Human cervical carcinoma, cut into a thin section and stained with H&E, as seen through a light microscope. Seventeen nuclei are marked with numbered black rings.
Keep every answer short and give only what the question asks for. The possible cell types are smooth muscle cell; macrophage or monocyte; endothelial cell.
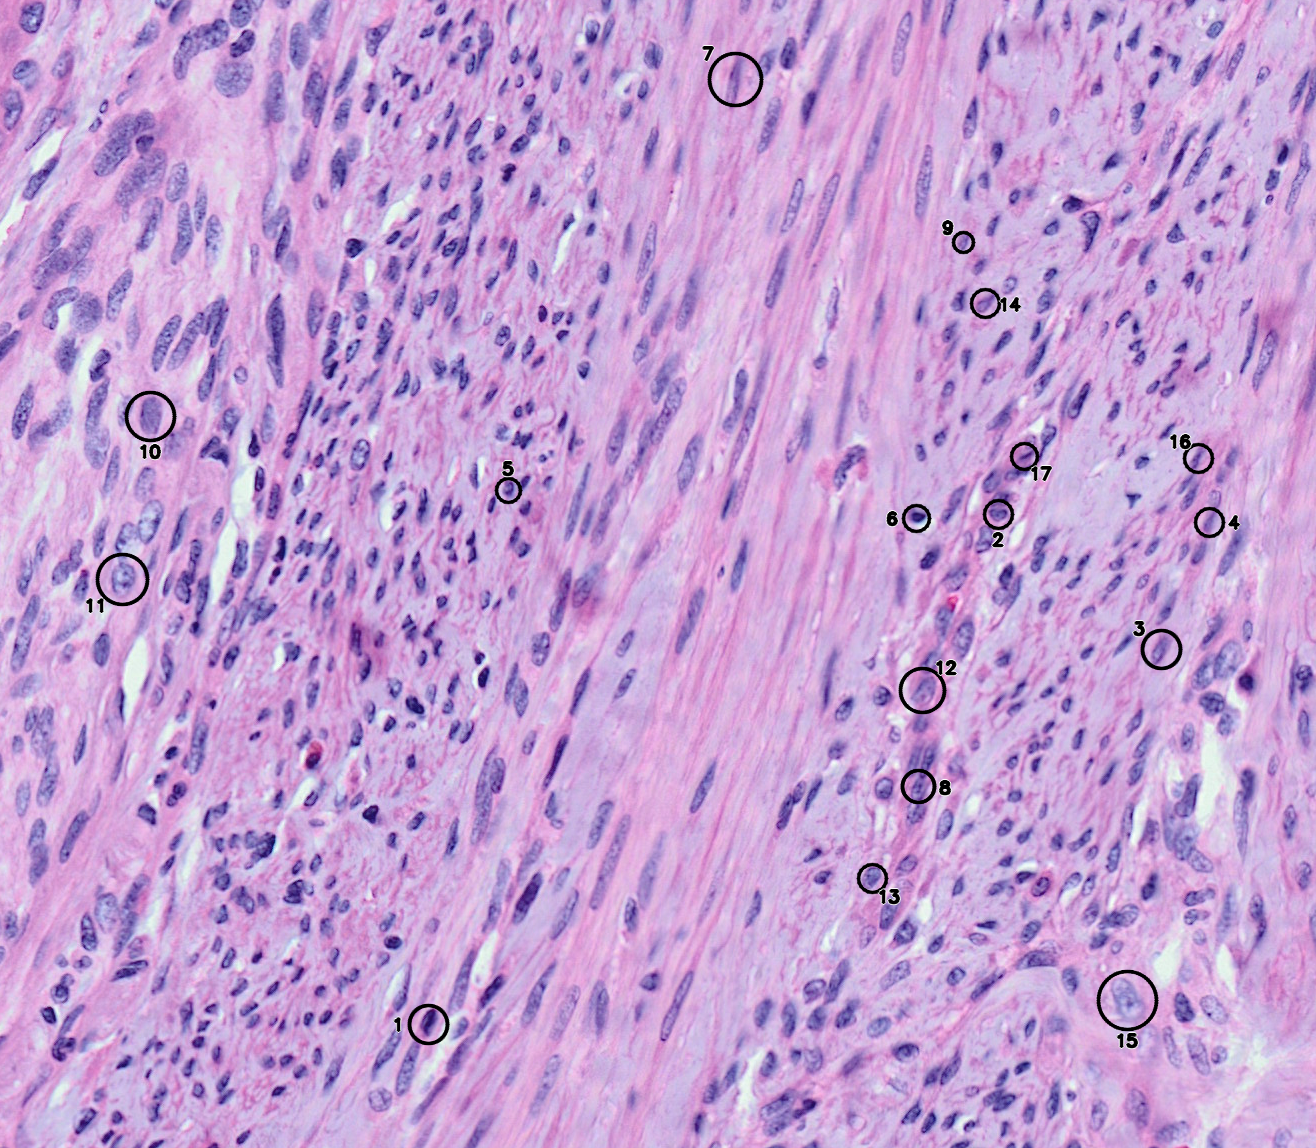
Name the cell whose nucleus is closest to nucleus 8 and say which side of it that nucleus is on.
an endothelial cell, below nucleus 8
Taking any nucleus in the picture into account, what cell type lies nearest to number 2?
endothelial cell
